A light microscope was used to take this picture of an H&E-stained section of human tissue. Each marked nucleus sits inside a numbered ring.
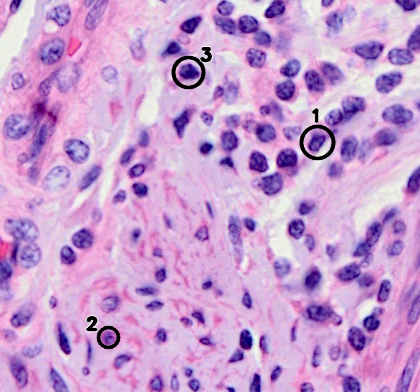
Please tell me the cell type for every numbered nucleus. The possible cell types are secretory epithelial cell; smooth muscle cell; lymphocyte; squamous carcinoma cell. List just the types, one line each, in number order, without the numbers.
lymphocyte
smooth muscle cell
lymphocyte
